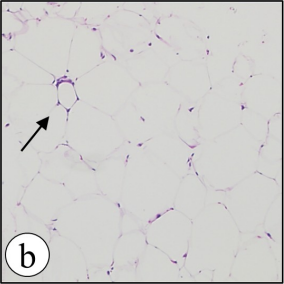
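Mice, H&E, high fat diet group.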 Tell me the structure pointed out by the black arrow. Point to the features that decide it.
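The arrow points to a small cluster of dark purple nuclei. The nuclei gather around the thin rim of a single adipocyte. Nearby adipocytes have thin walls with few nuclei. So: crown-like structure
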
